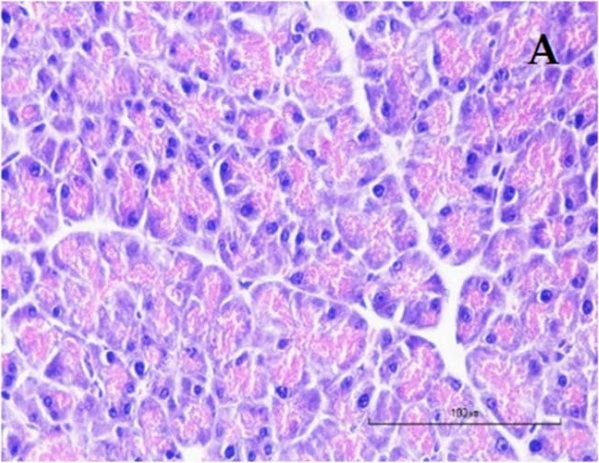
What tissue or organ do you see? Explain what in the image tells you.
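Pancreatic. Tightly packed acini of pyramidal cells. Apical cytoplasm full of pink granules, basal round nuclei. Thin septa divide the tissue into lobules.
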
